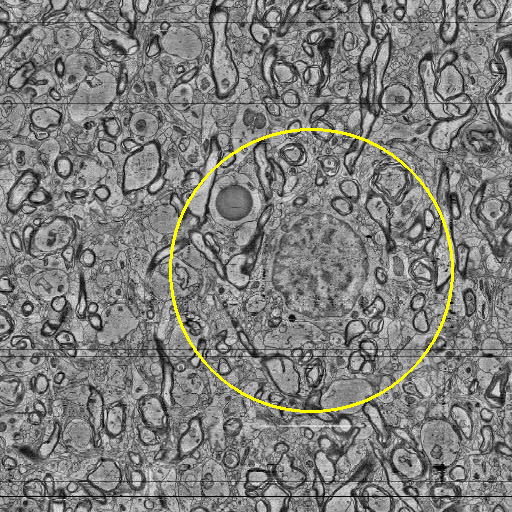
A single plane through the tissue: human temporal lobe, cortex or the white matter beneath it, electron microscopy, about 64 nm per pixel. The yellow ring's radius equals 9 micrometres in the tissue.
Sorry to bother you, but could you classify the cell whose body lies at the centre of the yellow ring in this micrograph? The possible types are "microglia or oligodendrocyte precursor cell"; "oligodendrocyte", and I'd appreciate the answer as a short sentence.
The ringed cell body is that of an oligodendrocyte.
